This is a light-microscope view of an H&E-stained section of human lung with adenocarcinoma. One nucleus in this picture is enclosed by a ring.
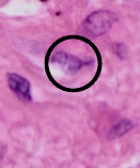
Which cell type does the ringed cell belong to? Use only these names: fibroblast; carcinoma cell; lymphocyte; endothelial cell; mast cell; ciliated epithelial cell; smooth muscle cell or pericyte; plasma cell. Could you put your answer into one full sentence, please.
In this preparation, the ringed cell is a fibroblast.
